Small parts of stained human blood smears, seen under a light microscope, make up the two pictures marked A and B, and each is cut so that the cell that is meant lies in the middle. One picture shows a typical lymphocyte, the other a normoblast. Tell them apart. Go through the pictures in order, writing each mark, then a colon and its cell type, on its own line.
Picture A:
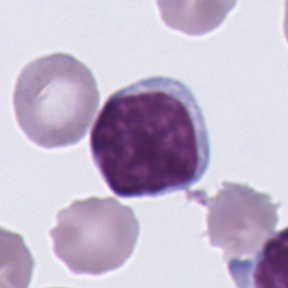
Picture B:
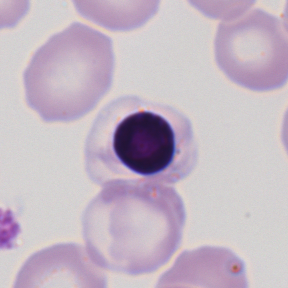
A: typical lymphocyte
B: normoblast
